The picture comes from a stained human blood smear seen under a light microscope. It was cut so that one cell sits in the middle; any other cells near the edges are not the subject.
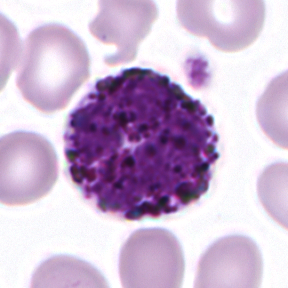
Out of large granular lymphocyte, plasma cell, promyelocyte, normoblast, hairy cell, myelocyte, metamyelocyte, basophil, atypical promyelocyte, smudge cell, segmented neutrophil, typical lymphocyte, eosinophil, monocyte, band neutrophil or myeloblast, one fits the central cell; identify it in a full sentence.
The cell under consideration, at the middle of the crop, is a basophil.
